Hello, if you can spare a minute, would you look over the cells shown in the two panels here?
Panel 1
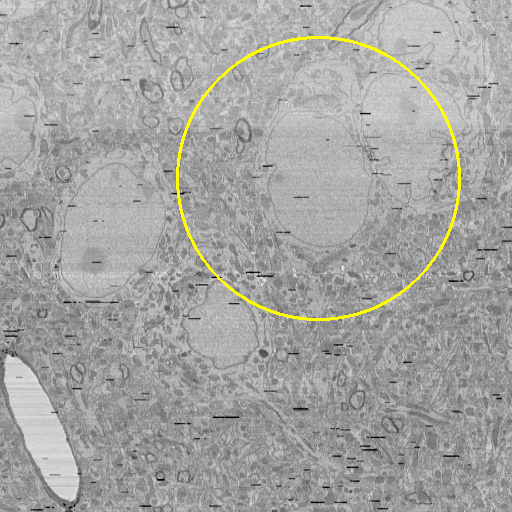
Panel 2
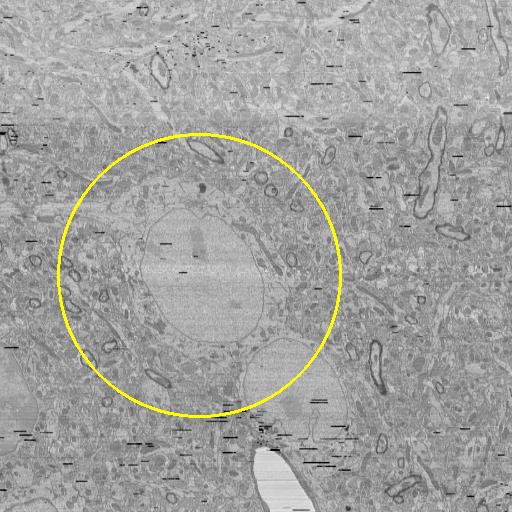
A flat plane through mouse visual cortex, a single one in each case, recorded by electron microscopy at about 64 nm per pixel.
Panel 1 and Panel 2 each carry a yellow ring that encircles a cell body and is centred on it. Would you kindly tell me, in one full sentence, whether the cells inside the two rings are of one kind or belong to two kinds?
The cells at the centres of the rings in Panel 1 and Panel 2 are of one kind.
